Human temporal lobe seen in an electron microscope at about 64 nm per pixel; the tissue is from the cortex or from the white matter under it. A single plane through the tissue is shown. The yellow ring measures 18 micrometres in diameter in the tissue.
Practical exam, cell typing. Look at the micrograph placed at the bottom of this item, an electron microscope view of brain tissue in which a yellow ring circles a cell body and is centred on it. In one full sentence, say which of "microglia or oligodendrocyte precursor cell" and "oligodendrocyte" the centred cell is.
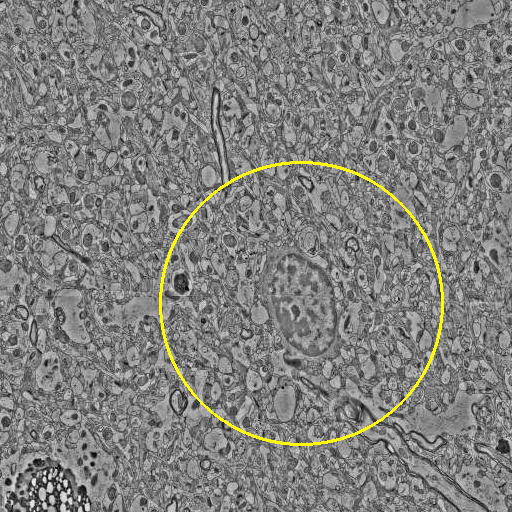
Given the options, an oligodendrocyte fits the cell whose body the yellow ring is centred on.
